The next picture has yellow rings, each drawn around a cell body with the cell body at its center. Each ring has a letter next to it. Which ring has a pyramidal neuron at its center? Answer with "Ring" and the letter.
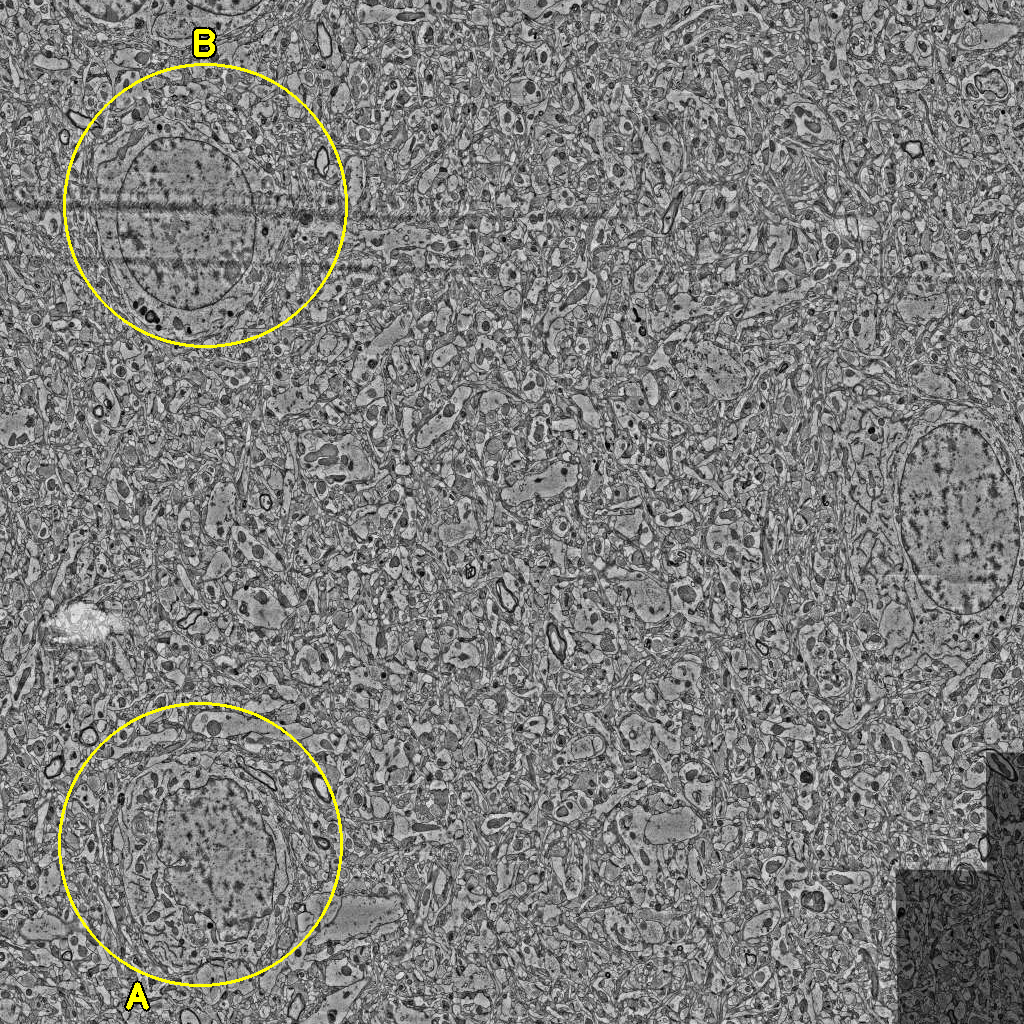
Ring B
